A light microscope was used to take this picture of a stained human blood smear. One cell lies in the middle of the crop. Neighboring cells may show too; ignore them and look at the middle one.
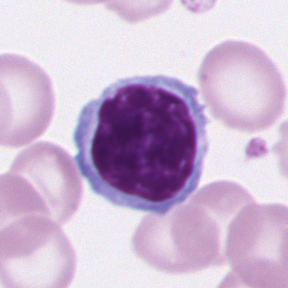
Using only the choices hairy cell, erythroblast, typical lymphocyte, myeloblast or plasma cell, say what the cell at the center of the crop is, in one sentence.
The central element of this crop is a cell, namely a typical lymphocyte.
